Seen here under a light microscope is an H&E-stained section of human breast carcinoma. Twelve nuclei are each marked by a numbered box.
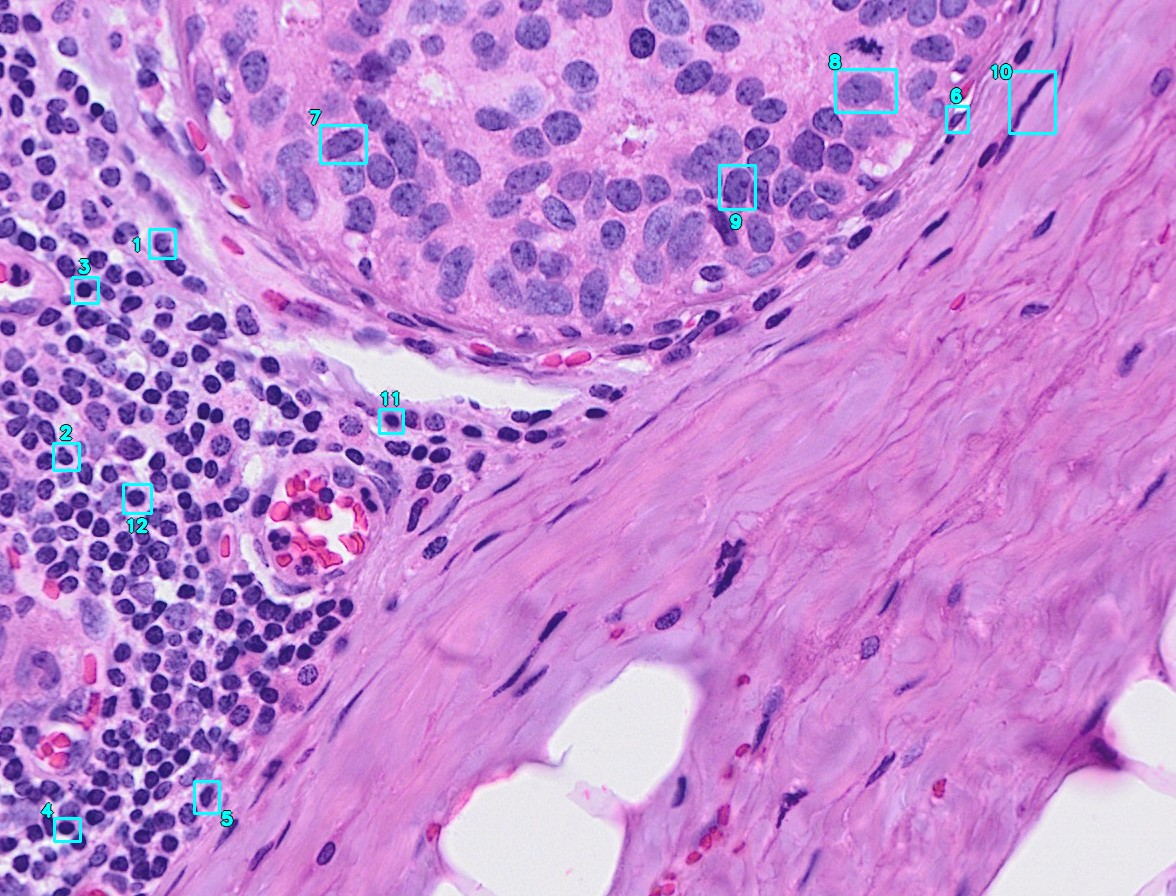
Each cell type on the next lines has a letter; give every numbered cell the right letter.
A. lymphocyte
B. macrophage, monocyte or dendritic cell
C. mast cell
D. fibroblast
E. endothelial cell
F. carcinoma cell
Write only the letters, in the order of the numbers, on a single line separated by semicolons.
A; A; A; A; A; E; F; F; F; D; A; A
